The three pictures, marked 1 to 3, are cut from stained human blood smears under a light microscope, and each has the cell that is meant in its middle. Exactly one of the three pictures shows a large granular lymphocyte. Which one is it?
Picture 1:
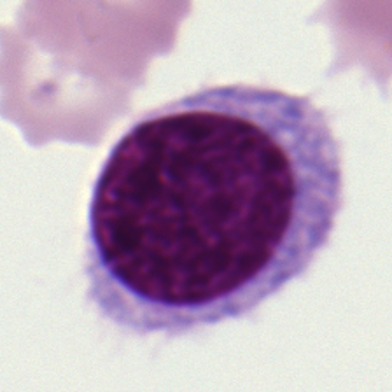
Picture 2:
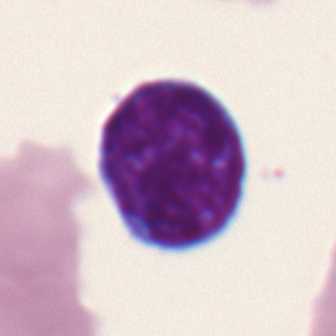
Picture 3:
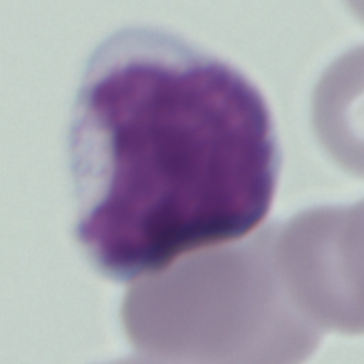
3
